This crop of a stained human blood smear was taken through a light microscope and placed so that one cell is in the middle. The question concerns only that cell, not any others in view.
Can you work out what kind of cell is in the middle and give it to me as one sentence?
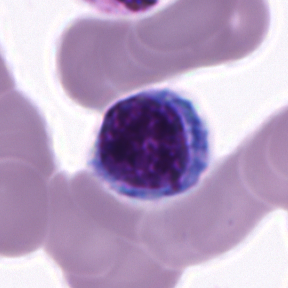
The cell at the central position in this crop is a plasma cell.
